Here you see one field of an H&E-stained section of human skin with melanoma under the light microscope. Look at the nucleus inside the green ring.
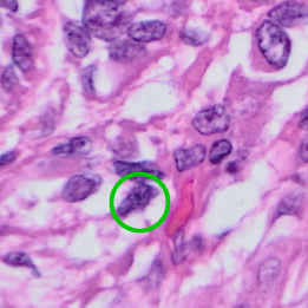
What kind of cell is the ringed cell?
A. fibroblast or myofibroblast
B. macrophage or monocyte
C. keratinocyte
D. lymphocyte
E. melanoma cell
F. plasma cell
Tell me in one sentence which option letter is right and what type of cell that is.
Option E correctly identifies the ringed cell as a melanoma cell.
